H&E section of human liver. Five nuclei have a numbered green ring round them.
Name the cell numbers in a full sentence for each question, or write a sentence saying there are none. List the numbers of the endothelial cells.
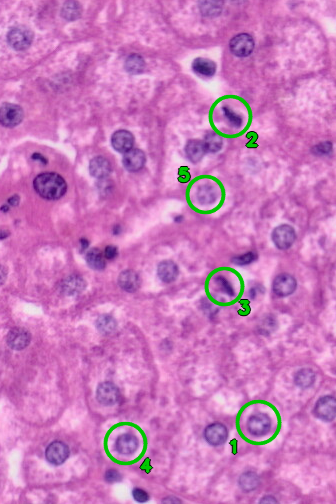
Of all the numbered cells, only one is an endothelial cell, and that is cell 2.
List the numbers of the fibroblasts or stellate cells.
Cell 3 is the only one of the numbered cells that is a fibroblast or stellate cell.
